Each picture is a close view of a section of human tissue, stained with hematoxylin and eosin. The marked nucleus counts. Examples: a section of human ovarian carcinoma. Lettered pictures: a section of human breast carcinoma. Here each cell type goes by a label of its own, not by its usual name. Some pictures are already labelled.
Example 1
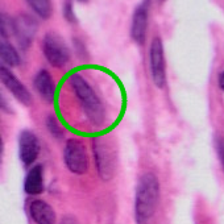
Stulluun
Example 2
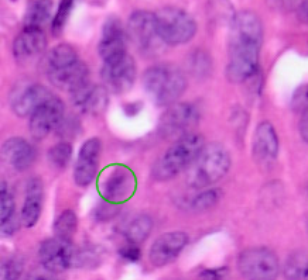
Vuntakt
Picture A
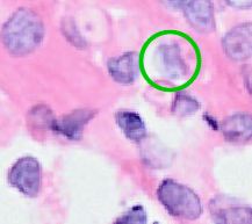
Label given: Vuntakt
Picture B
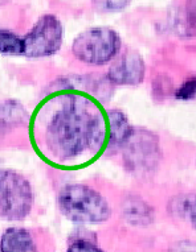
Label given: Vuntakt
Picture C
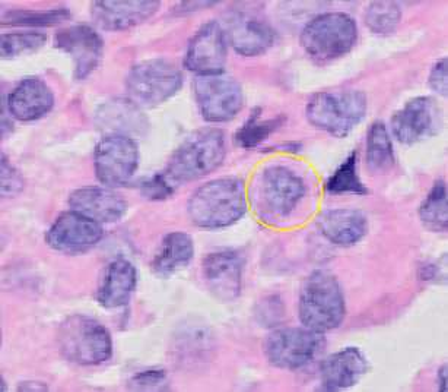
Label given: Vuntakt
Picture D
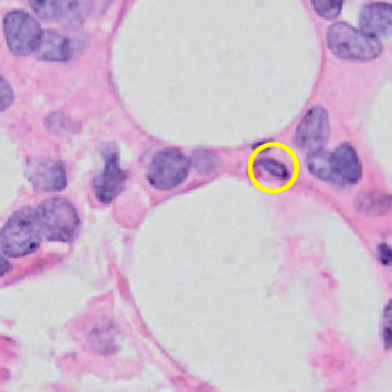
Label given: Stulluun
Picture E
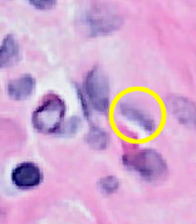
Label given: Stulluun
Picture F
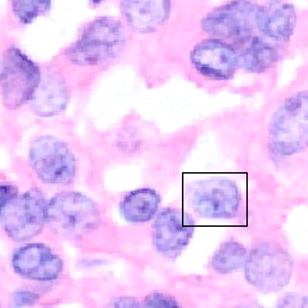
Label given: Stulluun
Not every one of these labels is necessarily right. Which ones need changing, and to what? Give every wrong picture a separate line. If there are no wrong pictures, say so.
Wrong: F (Stulluun); correct: Vuntakt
